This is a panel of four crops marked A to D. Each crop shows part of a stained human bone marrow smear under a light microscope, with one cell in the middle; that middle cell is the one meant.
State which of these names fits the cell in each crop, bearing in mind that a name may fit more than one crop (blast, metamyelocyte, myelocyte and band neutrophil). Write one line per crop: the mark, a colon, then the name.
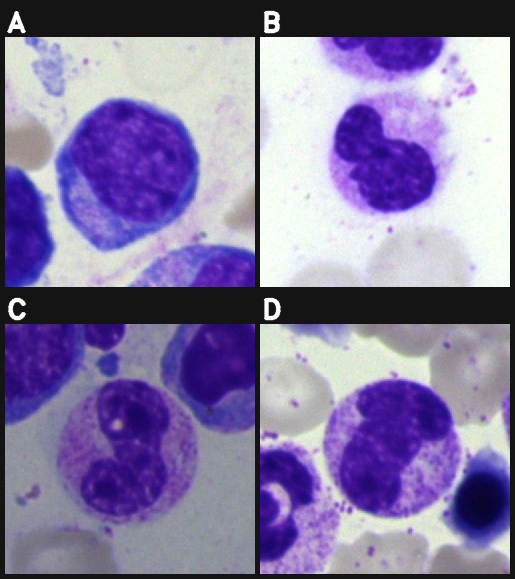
A: blast
B: band neutrophil
C: band neutrophil
D: band neutrophil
